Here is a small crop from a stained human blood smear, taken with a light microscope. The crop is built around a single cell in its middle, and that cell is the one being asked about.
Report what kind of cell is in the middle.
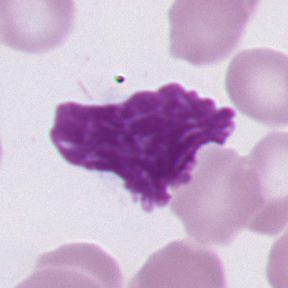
smudge cell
